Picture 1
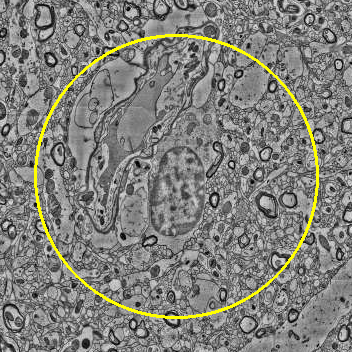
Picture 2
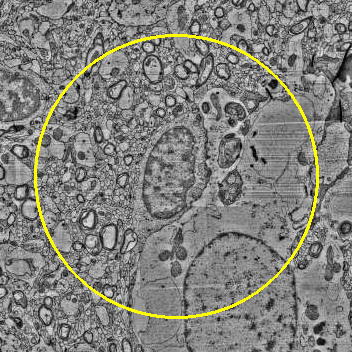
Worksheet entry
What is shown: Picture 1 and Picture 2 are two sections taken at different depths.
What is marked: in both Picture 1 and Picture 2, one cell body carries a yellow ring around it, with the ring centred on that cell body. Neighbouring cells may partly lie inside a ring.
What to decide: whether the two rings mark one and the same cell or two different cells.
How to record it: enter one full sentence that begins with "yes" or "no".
No, each ring encloses a different cell in the tissue.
